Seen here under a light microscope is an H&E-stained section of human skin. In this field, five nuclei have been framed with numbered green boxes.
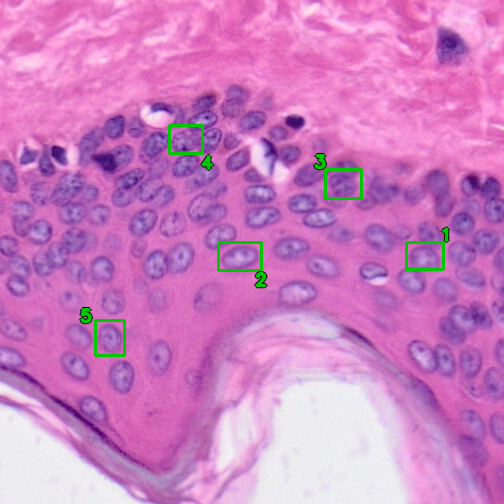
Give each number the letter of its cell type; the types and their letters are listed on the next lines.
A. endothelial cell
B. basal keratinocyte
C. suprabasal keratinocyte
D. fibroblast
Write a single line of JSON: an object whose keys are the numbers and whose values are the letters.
{"1": "C", "2": "C", "3": "B", "4": "B", "5": "C"}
